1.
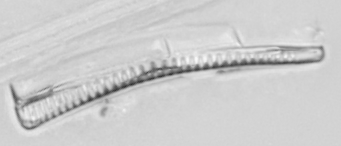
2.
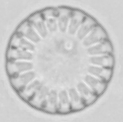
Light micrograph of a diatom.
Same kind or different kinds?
Different: the first is Rhoicosphenia, the second Cyclotella.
